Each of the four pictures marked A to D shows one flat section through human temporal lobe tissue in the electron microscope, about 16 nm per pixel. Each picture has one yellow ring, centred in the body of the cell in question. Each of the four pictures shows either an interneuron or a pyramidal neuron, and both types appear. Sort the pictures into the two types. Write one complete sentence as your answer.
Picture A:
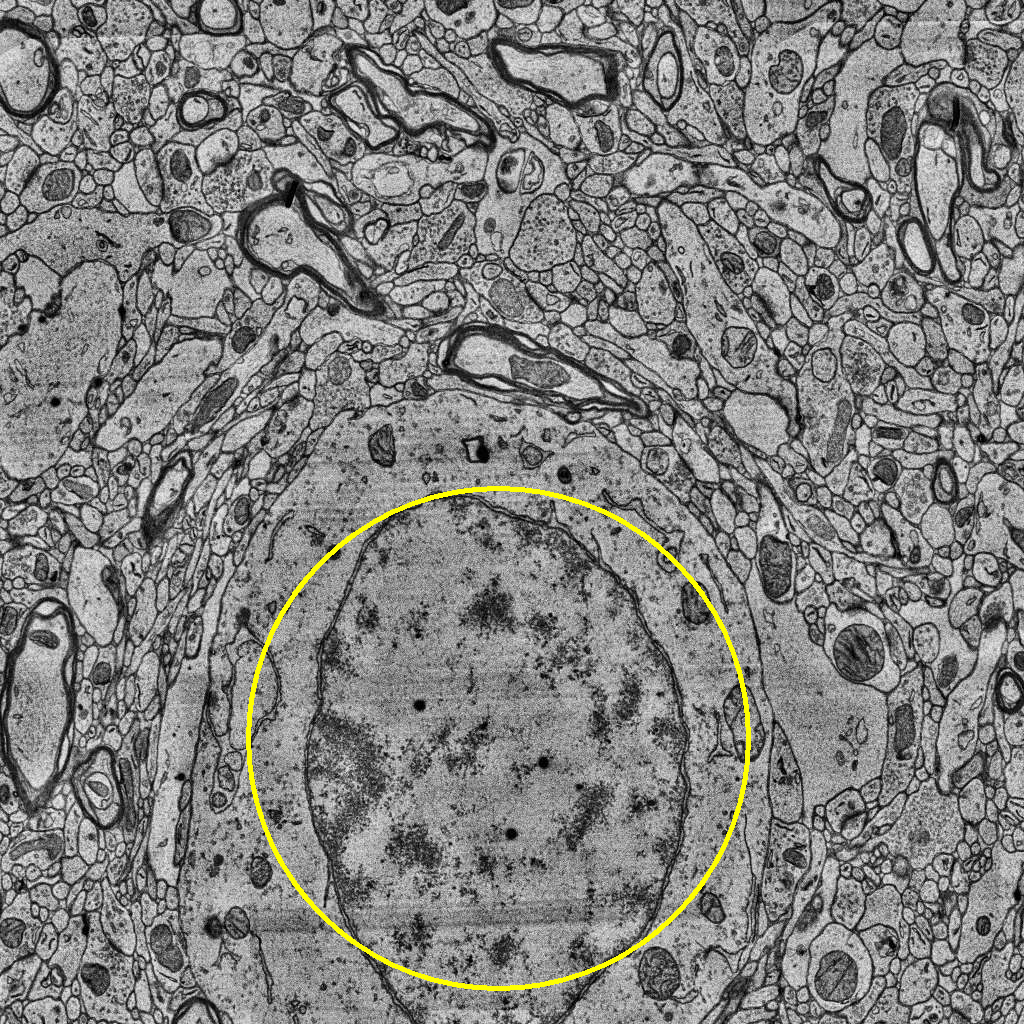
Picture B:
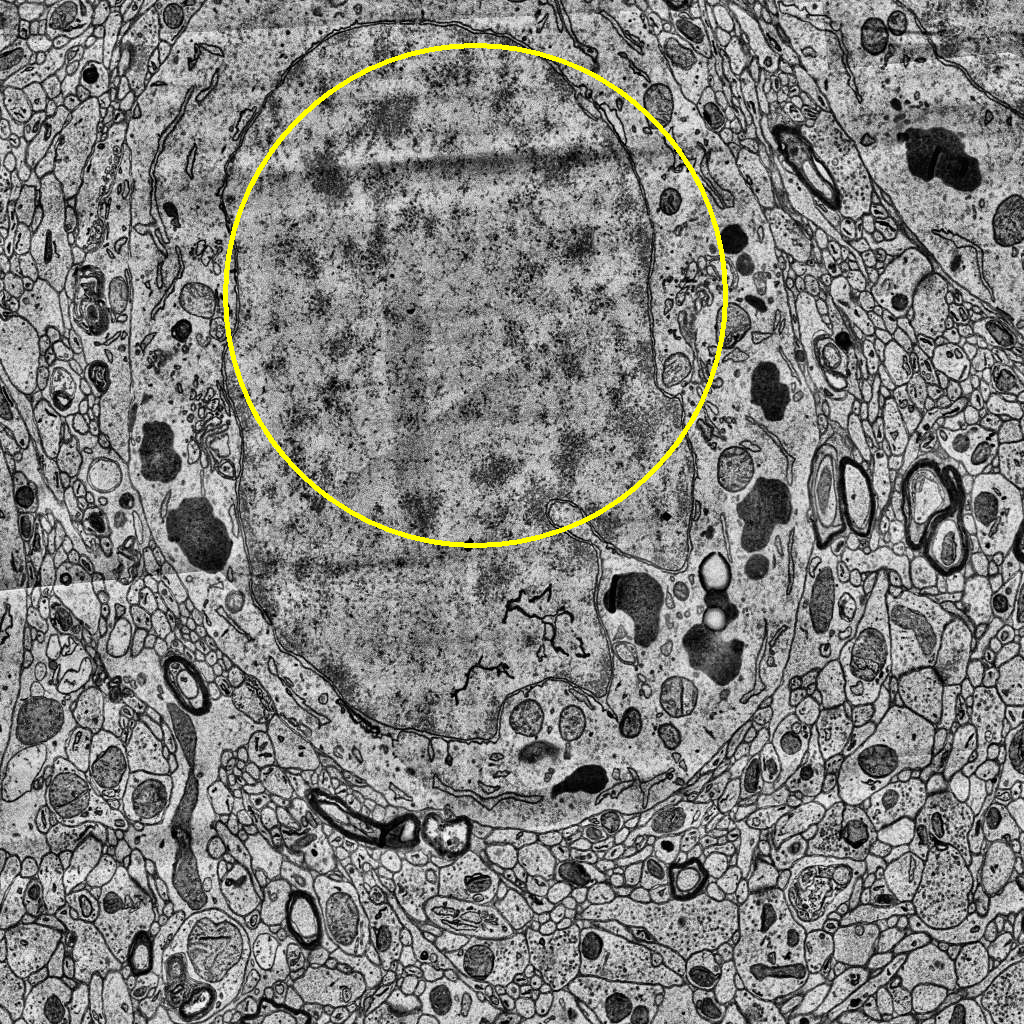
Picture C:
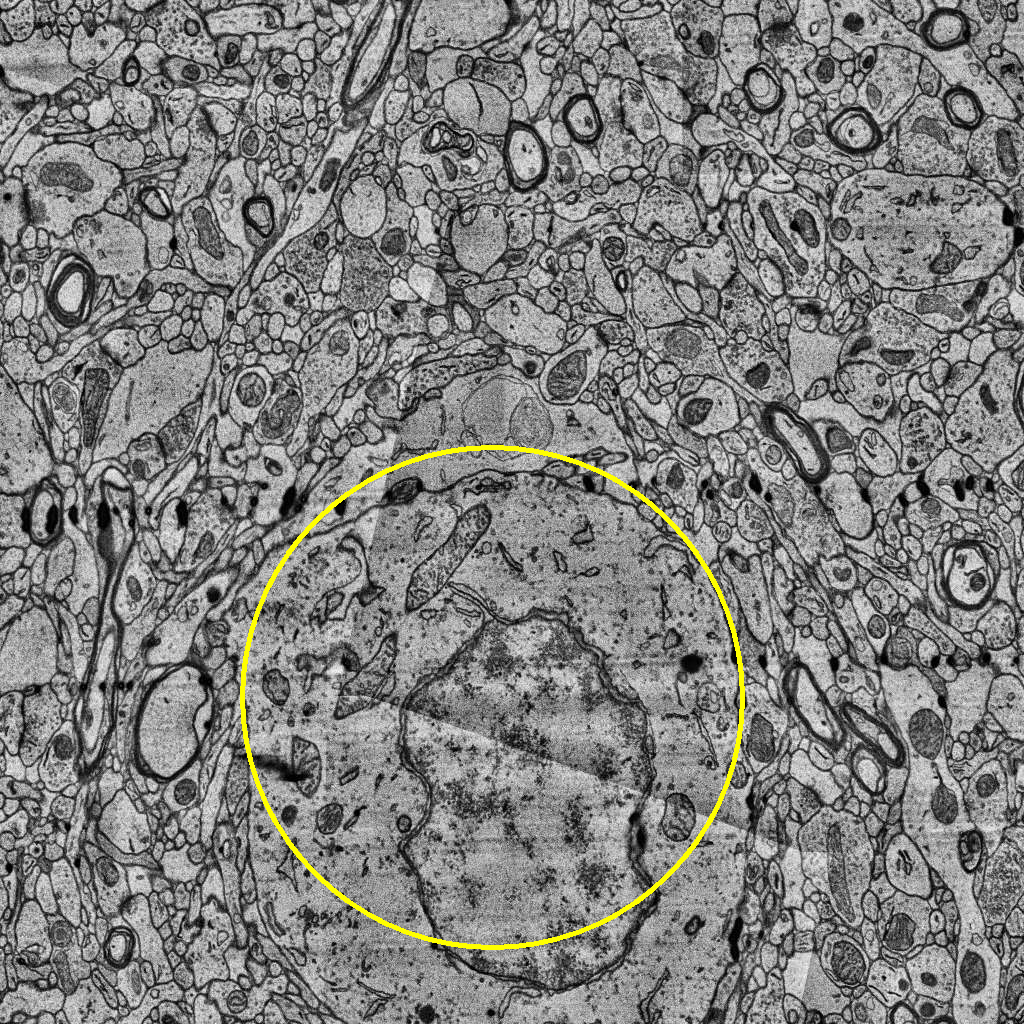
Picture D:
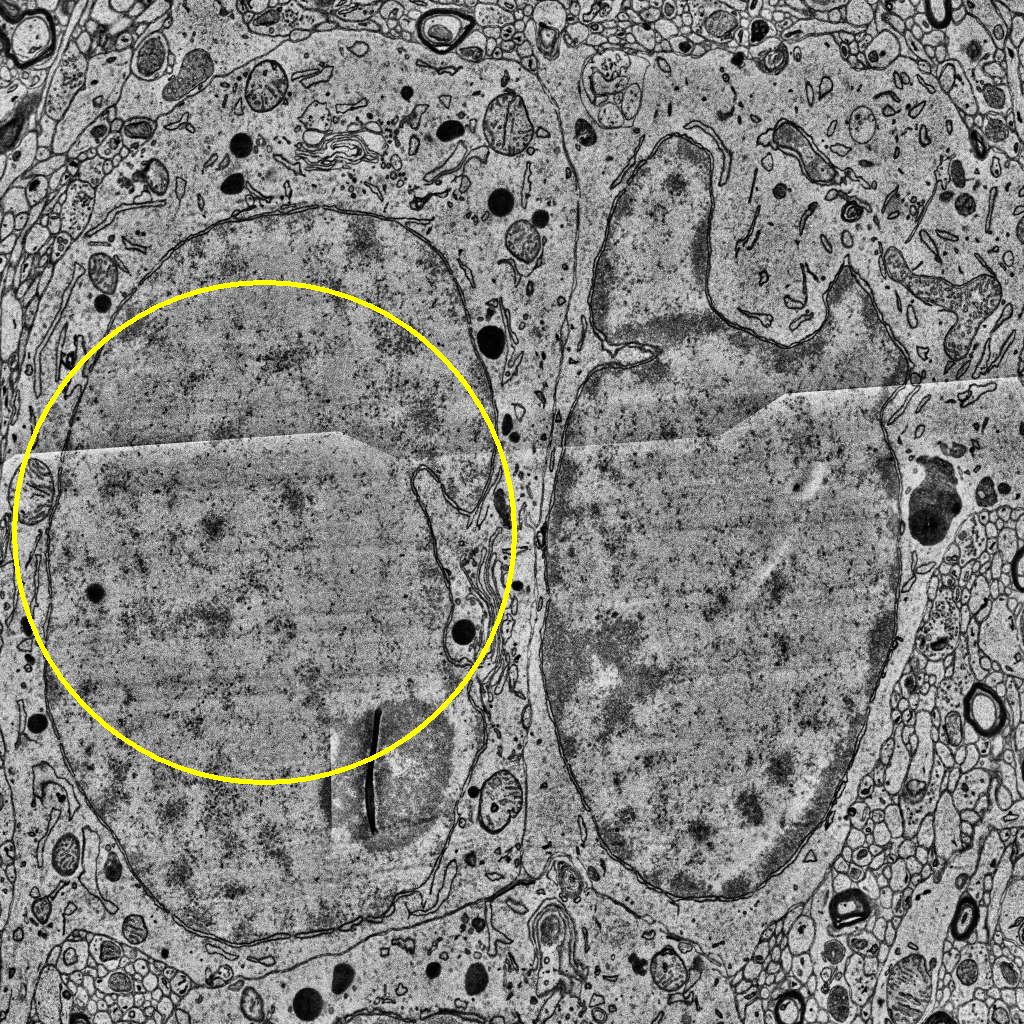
Picture B shows an interneuron, while pictures A, C and D show pyramidal neurons.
